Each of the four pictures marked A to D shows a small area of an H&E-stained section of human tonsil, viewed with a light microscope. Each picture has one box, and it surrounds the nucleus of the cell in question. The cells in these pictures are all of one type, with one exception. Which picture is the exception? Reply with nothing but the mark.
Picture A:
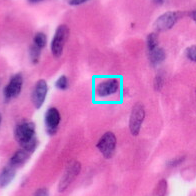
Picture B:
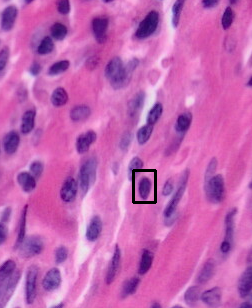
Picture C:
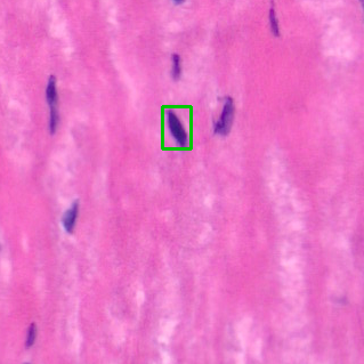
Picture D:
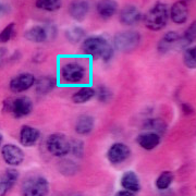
D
